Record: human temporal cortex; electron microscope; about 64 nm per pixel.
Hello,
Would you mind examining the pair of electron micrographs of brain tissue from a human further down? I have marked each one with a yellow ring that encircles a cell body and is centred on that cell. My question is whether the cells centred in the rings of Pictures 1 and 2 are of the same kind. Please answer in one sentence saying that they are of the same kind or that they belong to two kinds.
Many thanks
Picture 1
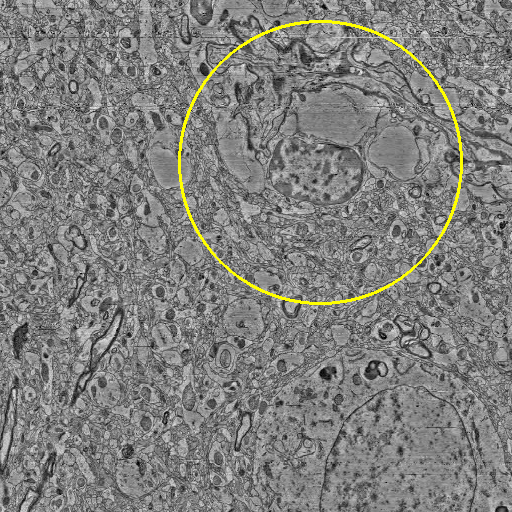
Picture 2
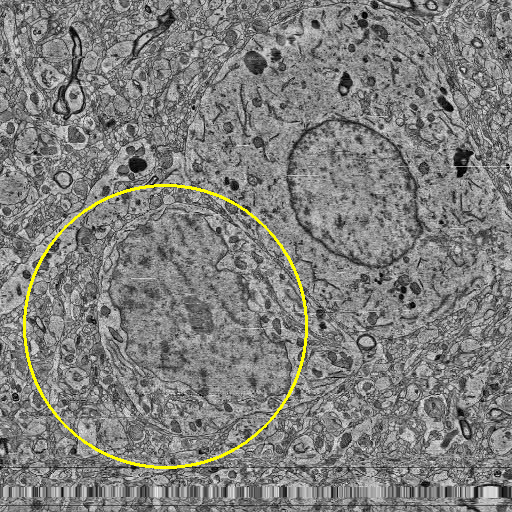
In Pictures 1 and 2, the cells at the heart of the rings belong to two kinds.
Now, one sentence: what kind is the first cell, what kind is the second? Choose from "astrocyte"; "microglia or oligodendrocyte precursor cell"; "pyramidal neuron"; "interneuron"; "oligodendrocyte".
The first picture has a microglial cell or oligodendrocyte precursor cell at its ring centre, and the second has an interneuron.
